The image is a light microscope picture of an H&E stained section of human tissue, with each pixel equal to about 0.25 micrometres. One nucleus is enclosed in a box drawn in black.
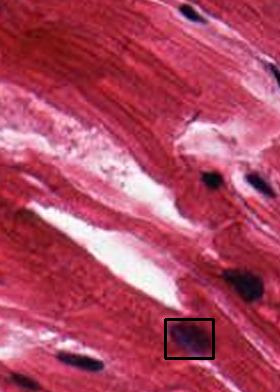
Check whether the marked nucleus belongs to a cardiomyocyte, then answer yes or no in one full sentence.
Yes, the marked nucleus is held by a cardiomyocyte.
